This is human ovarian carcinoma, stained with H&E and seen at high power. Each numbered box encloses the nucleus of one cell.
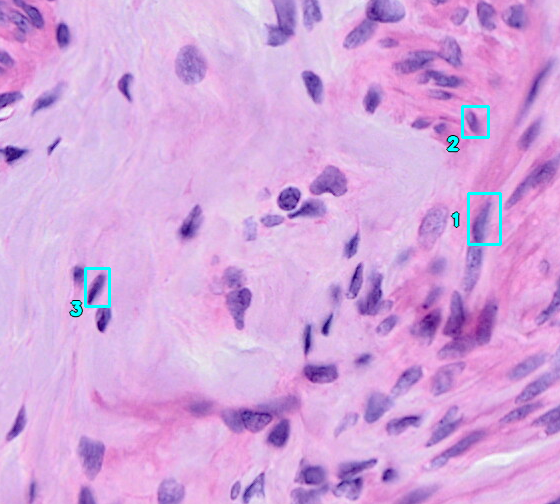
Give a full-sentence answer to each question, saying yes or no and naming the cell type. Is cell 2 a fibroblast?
No, it is a smooth muscle cell, not a fibroblast, that number 2 marks.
